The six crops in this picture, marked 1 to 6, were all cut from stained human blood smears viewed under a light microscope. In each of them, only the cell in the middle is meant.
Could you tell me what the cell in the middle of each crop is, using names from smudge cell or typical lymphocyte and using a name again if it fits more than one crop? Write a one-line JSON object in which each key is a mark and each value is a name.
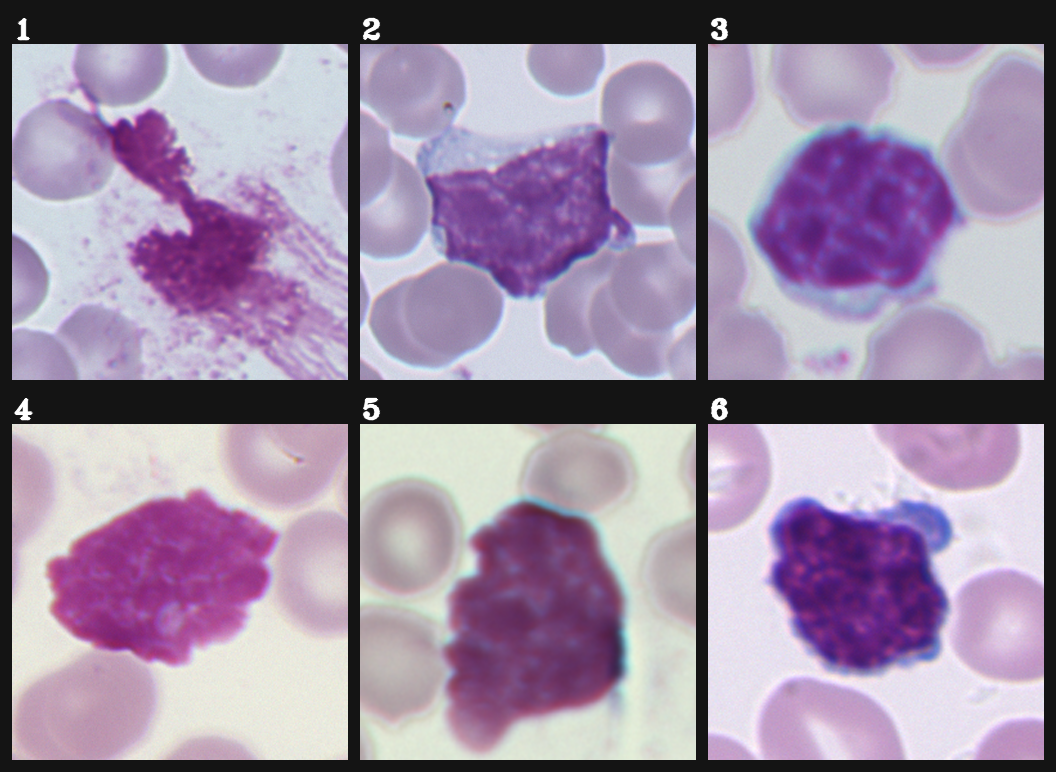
{"1": "smudge cell", "2": "typical lymphocyte", "3": "typical lymphocyte", "4": "smudge cell", "5": "smudge cell", "6": "typical lymphocyte"}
